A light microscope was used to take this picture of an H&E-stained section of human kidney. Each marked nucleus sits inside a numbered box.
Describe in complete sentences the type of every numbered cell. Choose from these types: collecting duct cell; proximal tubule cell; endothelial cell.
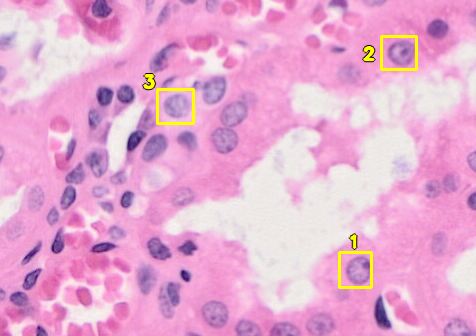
Cells 1 and 2 are proximal tubule cells. Cell 3 is a collecting duct cell.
